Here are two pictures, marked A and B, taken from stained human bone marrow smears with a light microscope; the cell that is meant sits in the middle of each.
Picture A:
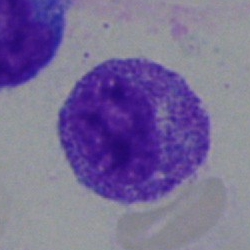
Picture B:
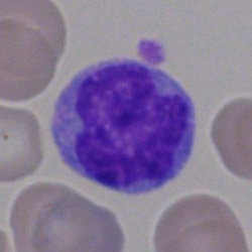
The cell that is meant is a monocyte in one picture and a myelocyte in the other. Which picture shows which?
A: myelocyte
B: monocyte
